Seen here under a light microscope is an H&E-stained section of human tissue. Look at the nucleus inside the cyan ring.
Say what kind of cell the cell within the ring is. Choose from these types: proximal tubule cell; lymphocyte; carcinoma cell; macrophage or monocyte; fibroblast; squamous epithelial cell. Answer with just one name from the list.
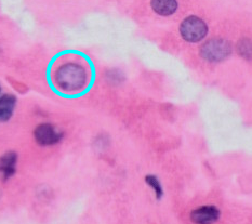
proximal tubule cell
